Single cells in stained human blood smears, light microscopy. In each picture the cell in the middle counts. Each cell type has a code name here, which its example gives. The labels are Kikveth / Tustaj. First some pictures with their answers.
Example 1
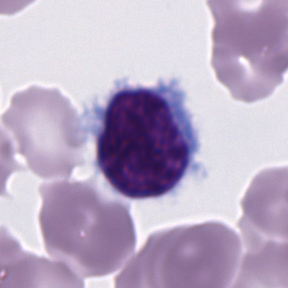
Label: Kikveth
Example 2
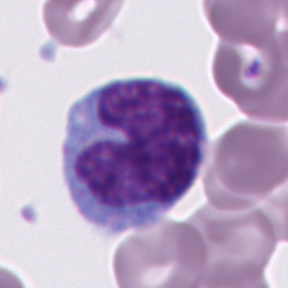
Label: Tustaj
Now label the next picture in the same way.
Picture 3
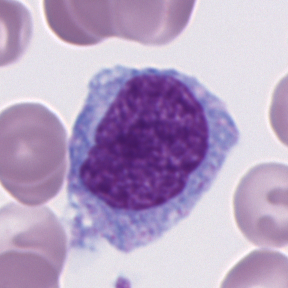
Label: Tustaj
